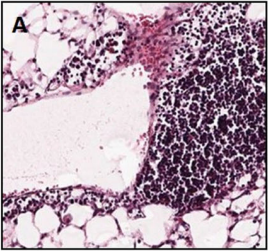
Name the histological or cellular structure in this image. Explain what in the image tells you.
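A large dense mass of small, tightly packed, dark purple round nuclei. The mass lies beside a large pale empty lumen. The answer: lymphoid aggregates.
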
